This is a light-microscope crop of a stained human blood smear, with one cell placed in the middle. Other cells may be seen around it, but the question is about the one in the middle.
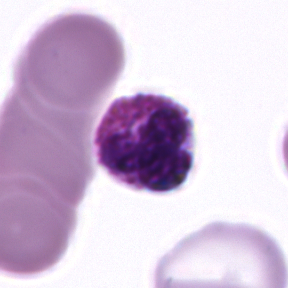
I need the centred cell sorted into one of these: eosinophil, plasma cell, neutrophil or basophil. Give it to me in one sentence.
As for the cell in the middle, it is an eosinophil.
